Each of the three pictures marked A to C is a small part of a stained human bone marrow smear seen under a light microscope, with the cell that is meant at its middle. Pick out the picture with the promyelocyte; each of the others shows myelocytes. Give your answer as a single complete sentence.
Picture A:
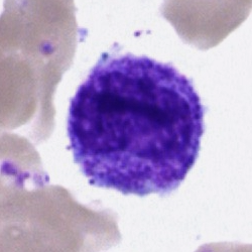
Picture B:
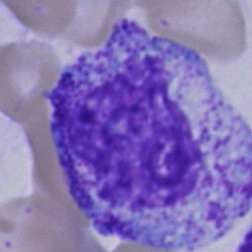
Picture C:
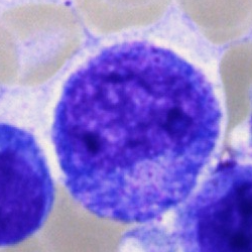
The cell in picture C is the promyelocyte.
